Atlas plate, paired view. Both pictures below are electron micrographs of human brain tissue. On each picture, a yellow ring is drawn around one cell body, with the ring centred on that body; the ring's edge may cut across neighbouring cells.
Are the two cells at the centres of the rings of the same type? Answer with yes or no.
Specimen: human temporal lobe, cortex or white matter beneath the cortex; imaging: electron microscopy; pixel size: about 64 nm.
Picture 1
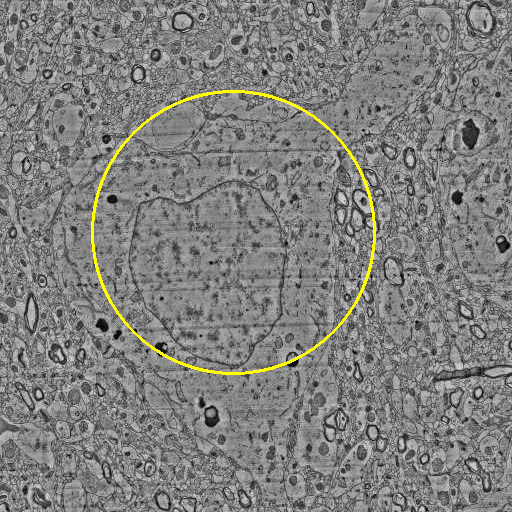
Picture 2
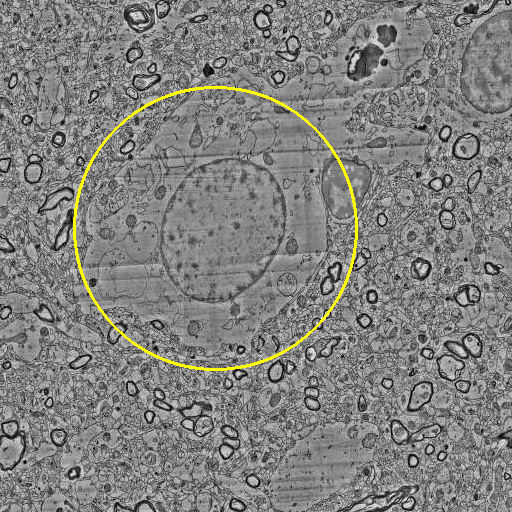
no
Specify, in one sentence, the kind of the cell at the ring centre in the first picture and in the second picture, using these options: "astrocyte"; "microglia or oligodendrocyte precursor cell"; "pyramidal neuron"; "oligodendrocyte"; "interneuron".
So the first is a pyramidal neuron, the second an astrocyte.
